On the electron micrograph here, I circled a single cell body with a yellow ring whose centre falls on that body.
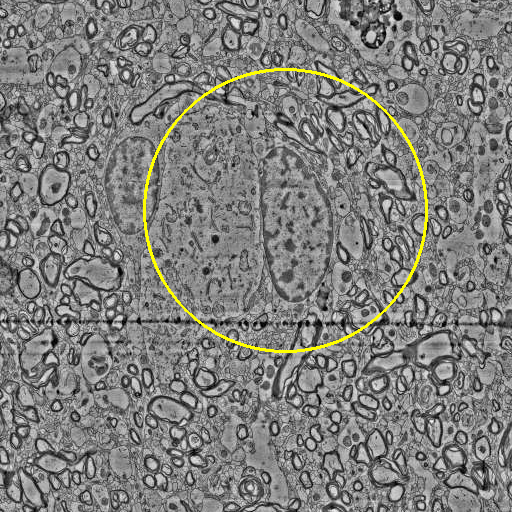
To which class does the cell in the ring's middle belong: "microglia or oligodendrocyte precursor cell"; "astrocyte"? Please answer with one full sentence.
In this picture, the cell body circled at the ring's centre belongs to a microglial cell or oligodendrocyte precursor cell.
